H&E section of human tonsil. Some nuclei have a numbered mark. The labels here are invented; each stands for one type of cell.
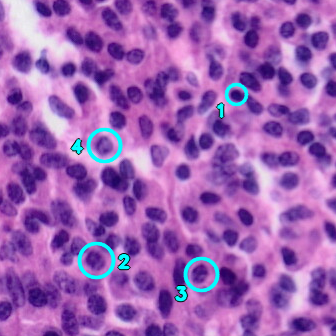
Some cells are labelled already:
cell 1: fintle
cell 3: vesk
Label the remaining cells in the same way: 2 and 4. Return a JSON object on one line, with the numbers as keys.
{"2": "vesk", "4": "vesk"}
